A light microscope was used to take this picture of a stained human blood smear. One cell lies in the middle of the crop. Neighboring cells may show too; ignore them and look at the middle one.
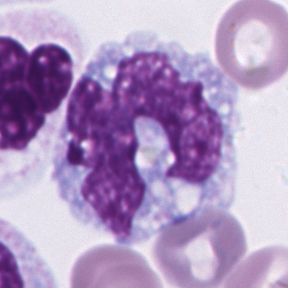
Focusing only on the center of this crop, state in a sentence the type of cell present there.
The cell the crop is centered on is a monocyte.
